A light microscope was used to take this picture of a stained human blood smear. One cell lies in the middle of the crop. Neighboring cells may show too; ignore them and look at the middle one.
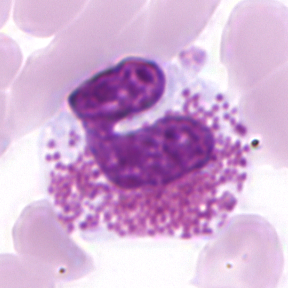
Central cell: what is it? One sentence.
The cell of interest, in the center, is an eosinophil.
